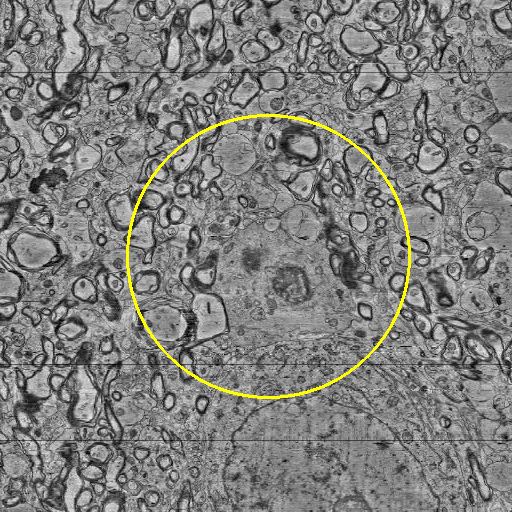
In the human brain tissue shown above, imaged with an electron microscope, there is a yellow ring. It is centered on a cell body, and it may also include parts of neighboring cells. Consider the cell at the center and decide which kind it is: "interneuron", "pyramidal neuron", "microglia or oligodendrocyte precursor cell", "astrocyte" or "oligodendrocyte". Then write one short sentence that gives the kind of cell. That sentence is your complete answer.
This centered cell body is that of an oligodendrocyte.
